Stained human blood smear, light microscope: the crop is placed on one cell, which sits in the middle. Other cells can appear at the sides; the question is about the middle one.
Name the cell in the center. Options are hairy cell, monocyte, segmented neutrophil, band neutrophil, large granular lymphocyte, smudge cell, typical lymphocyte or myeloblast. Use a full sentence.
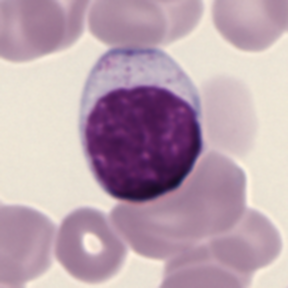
The crop shows a large granular lymphocyte in its centre.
